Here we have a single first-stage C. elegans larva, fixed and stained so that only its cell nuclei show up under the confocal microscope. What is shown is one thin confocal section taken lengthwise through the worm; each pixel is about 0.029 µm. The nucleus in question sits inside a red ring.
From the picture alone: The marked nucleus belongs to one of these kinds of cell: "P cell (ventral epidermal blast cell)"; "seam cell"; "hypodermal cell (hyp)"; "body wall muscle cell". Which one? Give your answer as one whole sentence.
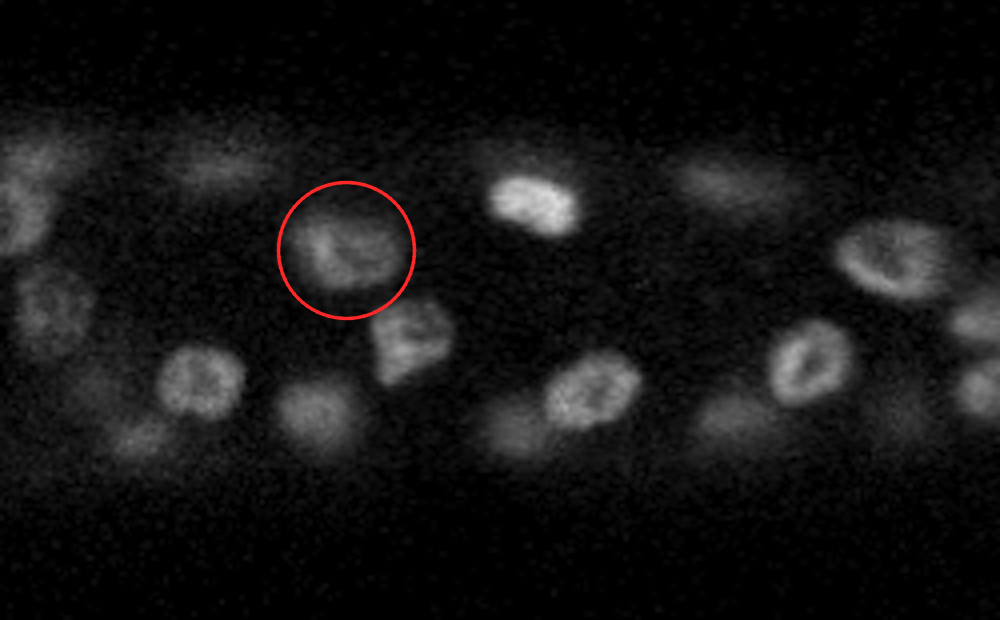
The marked nucleus belongs to a hypodermal cell (hyp).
